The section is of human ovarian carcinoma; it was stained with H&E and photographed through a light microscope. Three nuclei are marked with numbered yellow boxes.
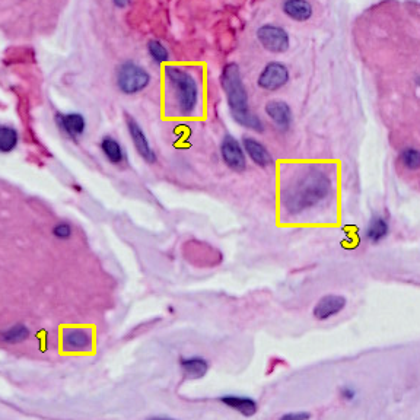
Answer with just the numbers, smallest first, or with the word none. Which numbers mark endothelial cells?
2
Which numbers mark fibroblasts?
3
